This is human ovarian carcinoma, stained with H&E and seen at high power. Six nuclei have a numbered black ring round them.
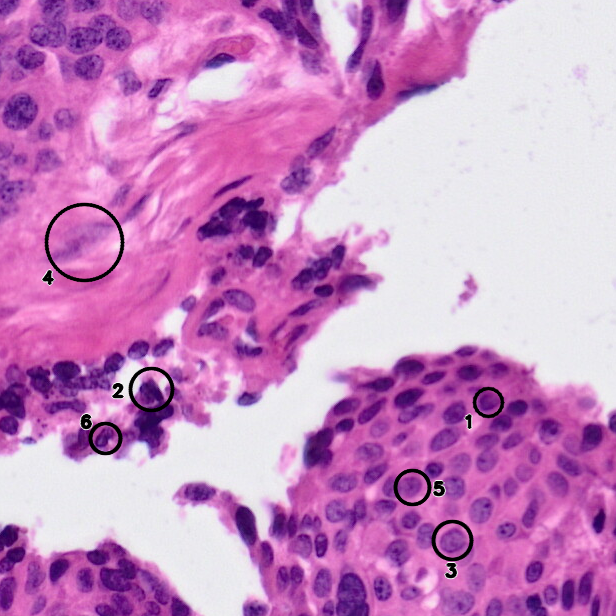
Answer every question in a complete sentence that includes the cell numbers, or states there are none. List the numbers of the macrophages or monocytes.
As for the numbered cells, only cell 6 is a macrophage or monocyte.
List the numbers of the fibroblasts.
Cell 4 is the only numbered cell that is a fibroblast.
